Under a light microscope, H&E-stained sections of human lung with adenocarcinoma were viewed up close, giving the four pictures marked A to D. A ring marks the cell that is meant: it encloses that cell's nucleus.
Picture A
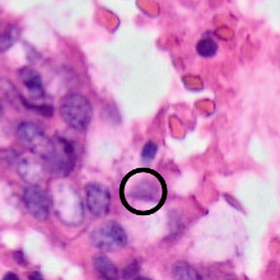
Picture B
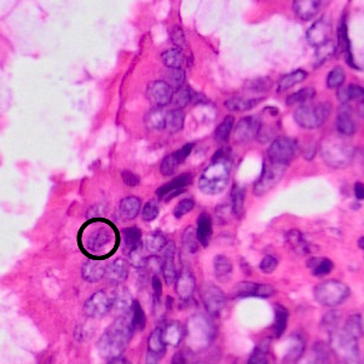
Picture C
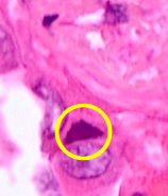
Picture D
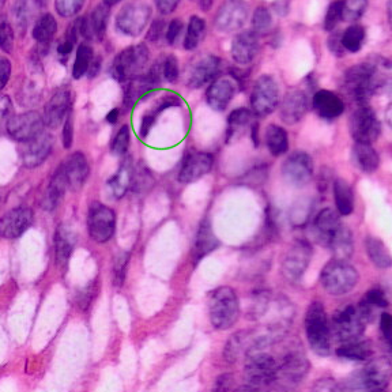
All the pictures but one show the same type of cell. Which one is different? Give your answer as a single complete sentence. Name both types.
The different one is picture C; it shows a carcinoma cell, whereas all the others show ciliated epithelial cells.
